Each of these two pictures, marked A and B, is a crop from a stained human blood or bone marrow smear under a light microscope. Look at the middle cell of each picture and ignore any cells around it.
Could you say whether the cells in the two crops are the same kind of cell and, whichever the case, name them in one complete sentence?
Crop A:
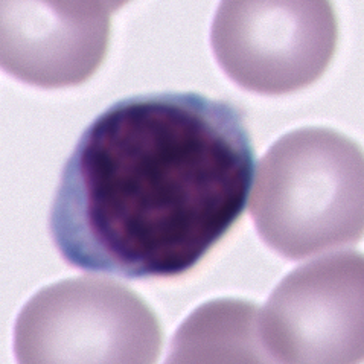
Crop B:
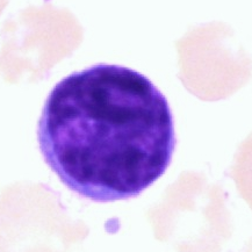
Yes, both crops show lymphocytes, to put it briefly.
